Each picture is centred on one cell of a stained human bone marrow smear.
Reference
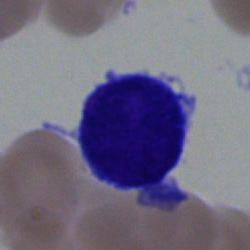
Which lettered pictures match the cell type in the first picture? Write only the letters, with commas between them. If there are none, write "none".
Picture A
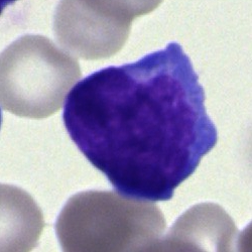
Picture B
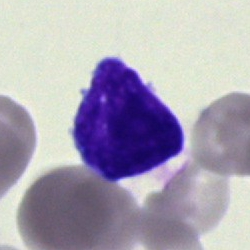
A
